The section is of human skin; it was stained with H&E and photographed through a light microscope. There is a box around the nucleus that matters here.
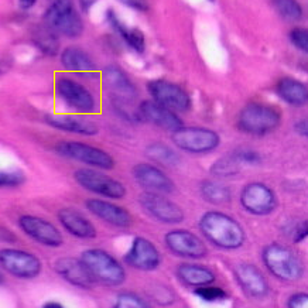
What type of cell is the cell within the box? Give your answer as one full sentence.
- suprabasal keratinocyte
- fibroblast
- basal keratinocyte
On this particular slide, the cell within the box is a basal keratinocyte.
